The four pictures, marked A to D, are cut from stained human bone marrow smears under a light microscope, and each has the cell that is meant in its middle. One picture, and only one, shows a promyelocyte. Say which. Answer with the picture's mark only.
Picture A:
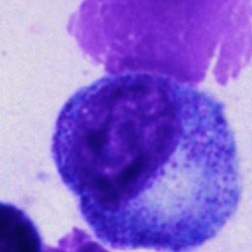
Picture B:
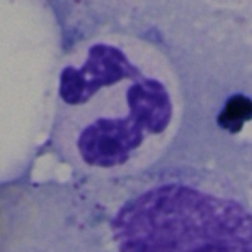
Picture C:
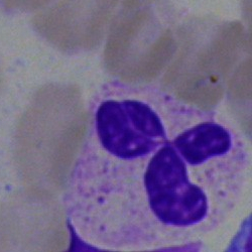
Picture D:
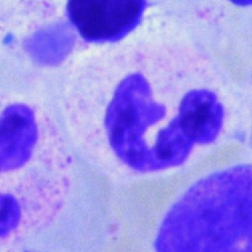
A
